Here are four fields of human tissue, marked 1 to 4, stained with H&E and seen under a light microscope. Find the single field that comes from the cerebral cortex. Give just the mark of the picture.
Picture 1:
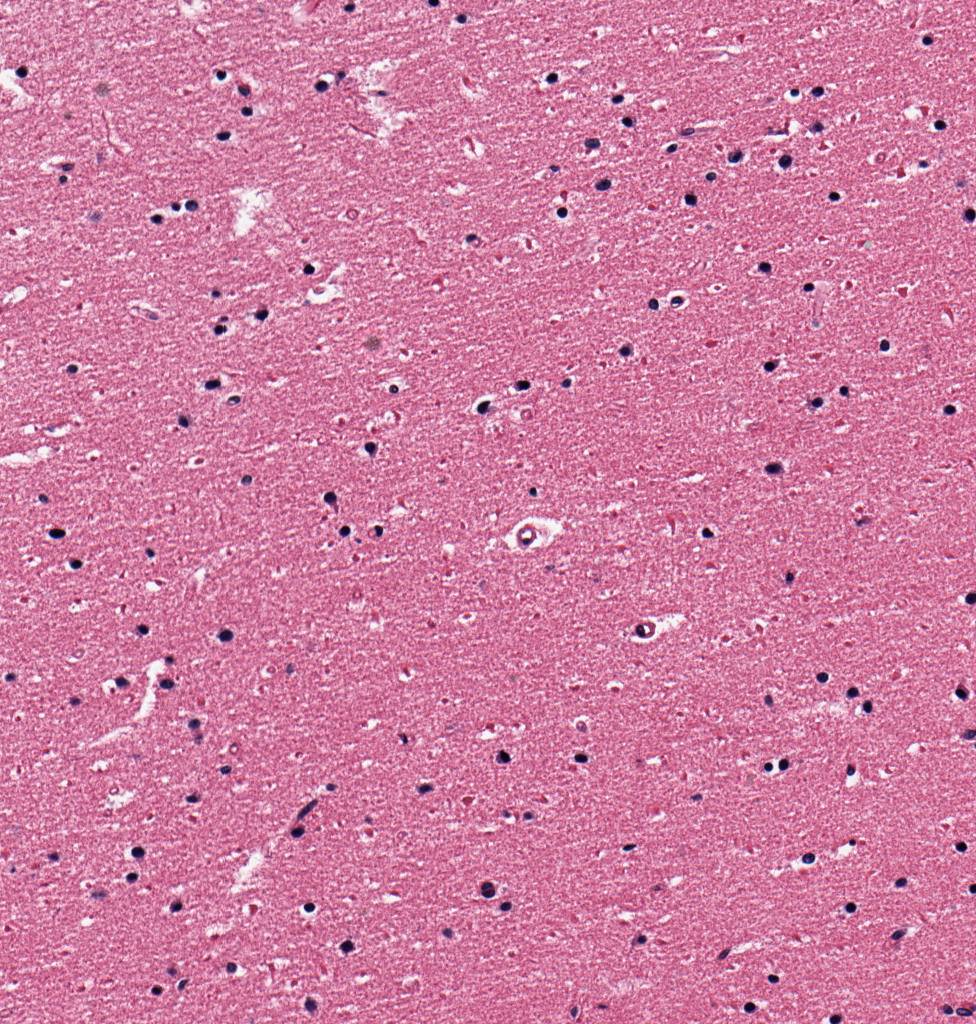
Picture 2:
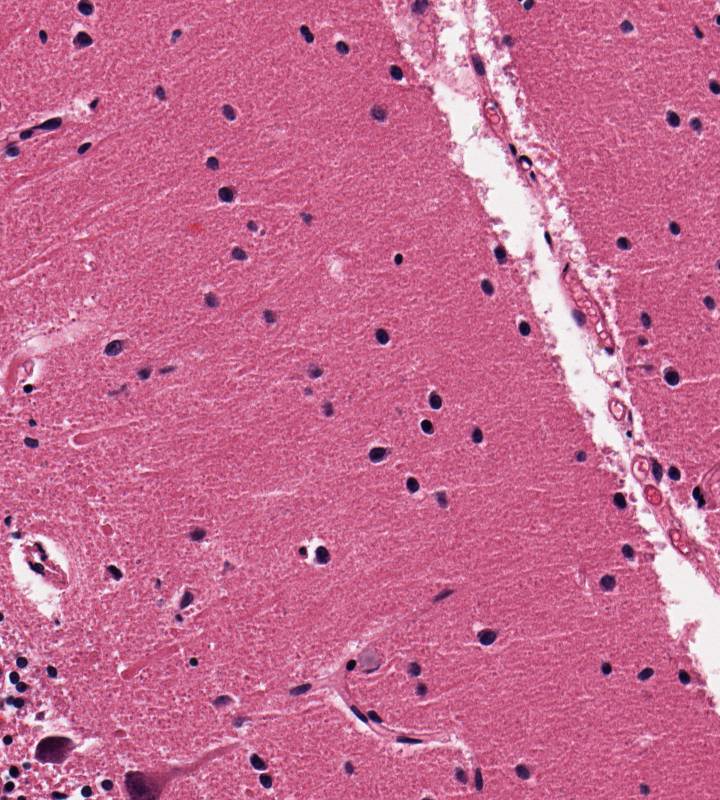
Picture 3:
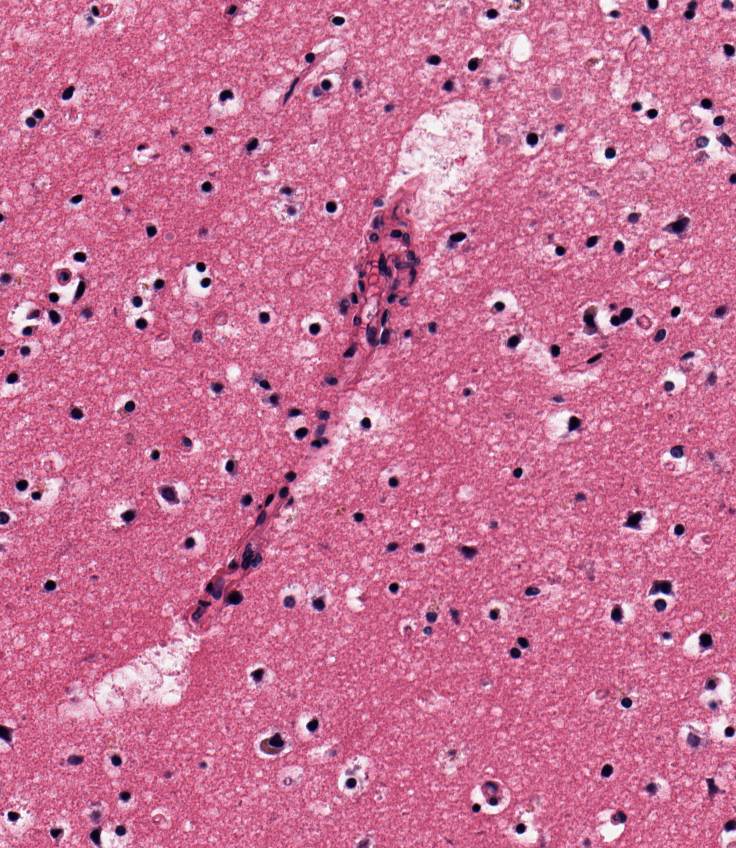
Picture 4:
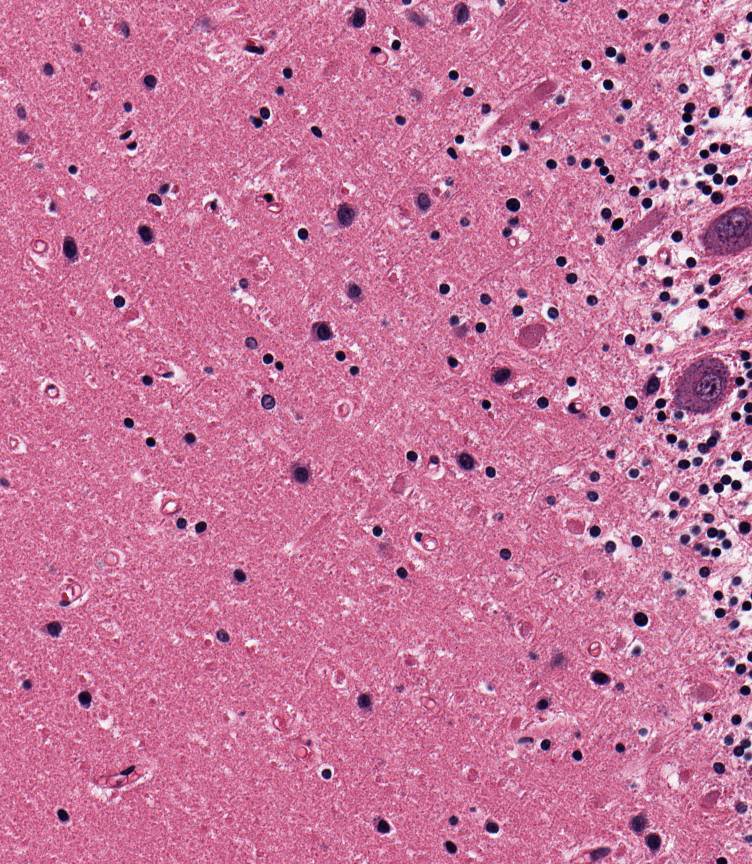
3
